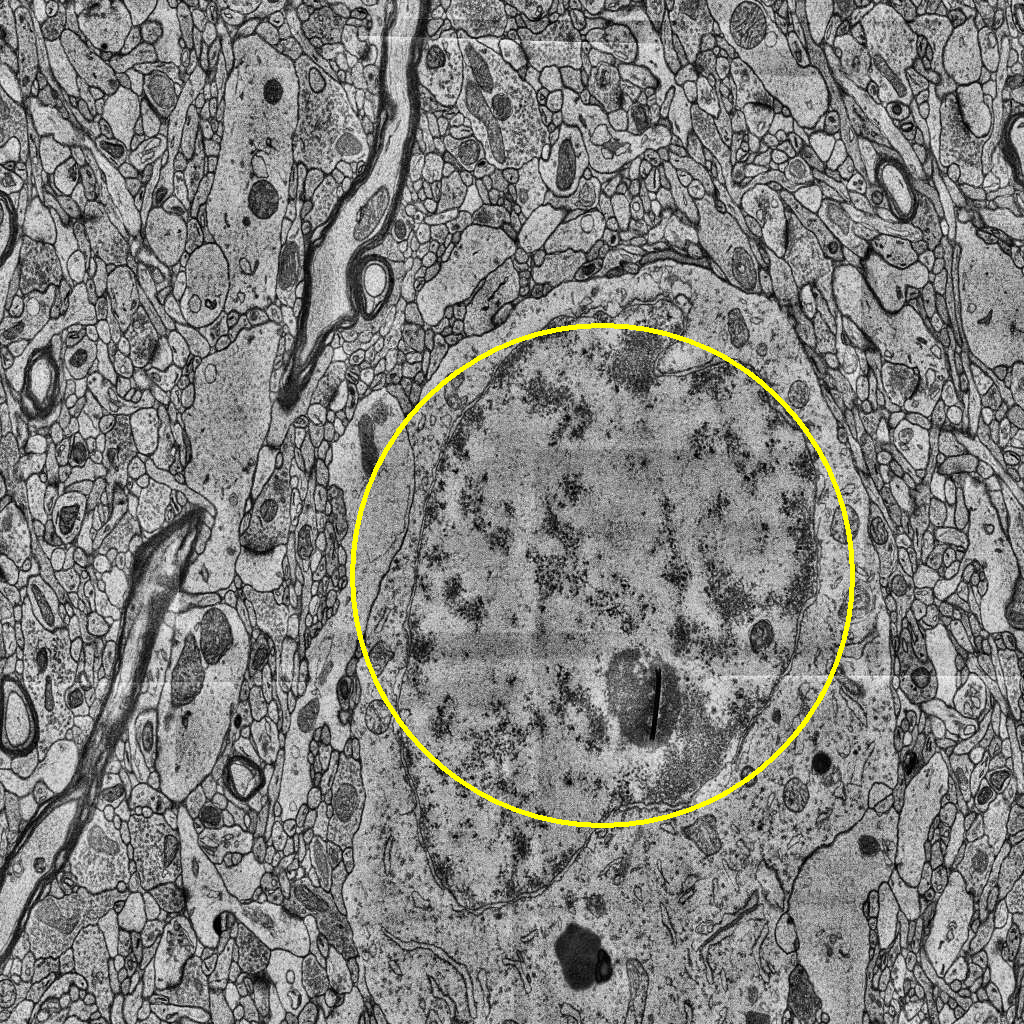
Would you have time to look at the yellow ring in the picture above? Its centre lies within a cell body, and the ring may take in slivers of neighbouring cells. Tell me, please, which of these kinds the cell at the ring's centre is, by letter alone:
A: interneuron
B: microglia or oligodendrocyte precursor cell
A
